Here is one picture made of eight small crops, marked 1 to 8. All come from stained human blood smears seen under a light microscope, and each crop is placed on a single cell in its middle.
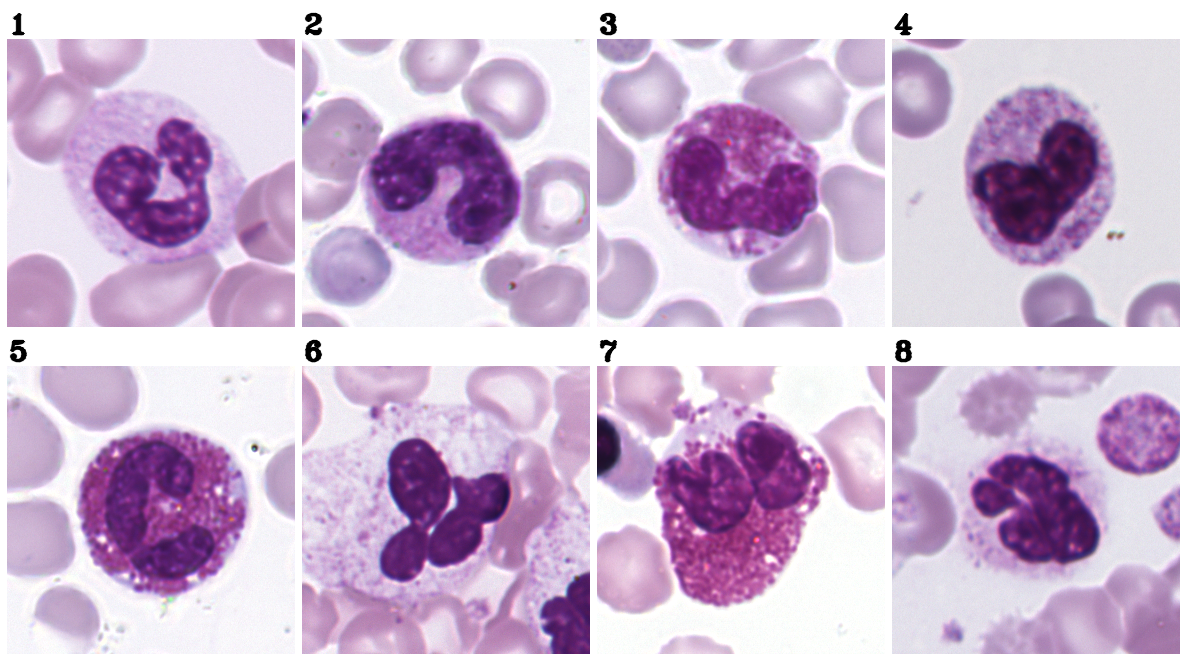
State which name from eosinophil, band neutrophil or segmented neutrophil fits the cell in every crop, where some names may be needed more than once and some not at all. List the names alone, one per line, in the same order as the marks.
segmented neutrophil
band neutrophil
eosinophil
segmented neutrophil
eosinophil
segmented neutrophil
eosinophil
segmented neutrophil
